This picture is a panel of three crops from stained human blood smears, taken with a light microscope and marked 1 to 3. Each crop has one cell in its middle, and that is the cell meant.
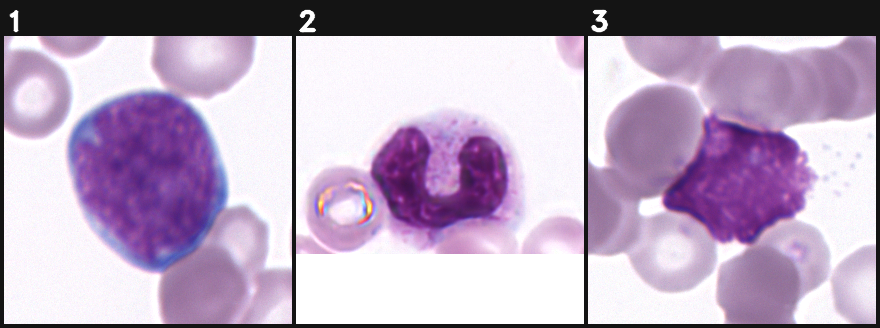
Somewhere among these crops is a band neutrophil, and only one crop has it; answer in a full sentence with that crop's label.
Among the crops given, only crop 2 shows a band neutrophil.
